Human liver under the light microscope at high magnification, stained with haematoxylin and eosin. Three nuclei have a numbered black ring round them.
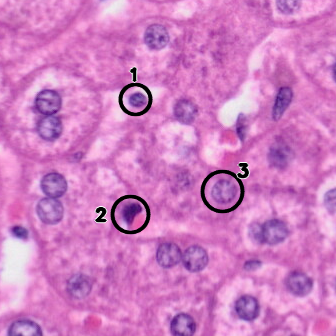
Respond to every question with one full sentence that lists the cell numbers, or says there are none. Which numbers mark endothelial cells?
Cell 2, and no other numbered cell, is an endothelial cell.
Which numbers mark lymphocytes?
Among the marked cells, cell number 1 alone is a lymphocyte.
